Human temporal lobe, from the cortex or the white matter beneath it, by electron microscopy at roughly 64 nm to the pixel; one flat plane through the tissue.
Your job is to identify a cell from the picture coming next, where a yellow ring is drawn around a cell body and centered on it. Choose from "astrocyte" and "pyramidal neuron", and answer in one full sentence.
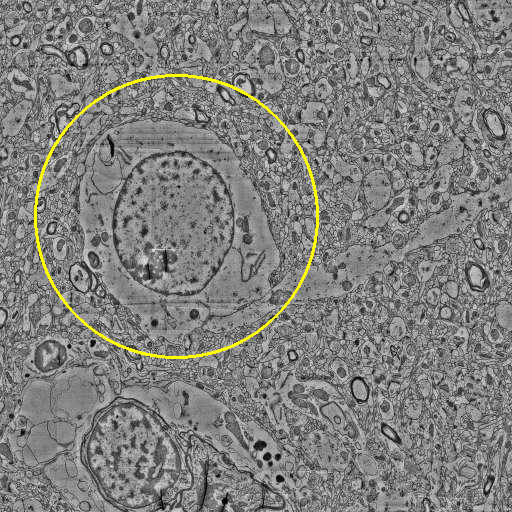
Centered in the yellow ring of the picture is the body of an astrocyte.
